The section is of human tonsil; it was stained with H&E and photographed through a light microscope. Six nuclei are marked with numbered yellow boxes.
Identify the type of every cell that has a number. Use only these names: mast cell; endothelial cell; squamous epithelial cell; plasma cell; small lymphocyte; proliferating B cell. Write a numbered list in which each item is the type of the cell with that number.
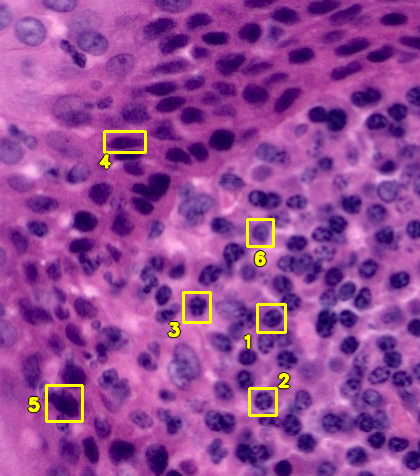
1. plasma cell
2. plasma cell
3. plasma cell
4. squamous epithelial cell
5. squamous epithelial cell
6. plasma cell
